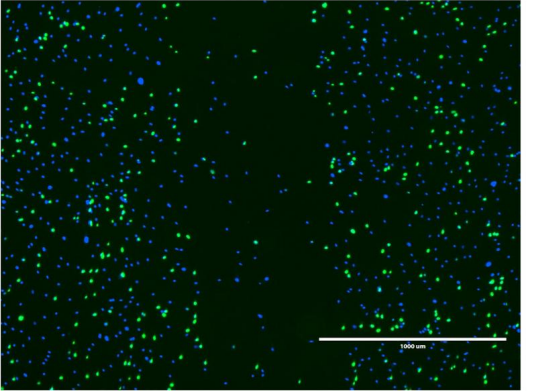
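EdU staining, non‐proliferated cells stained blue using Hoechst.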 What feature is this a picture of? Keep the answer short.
micro‐wound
